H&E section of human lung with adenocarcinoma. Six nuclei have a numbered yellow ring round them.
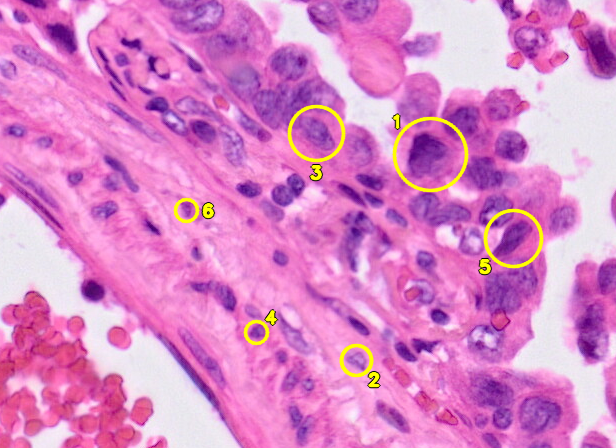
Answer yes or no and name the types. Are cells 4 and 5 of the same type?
No, whereas cell 5 is a carcinoma cell, cell 4 is a smooth muscle cell or pericyte.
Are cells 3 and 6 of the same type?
No, cell 6 is a plasma cell, but cell 3 is a carcinoma cell.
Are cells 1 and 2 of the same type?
No, sorry, cell 1 is a carcinoma cell and cell 2 is a fibroblast.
